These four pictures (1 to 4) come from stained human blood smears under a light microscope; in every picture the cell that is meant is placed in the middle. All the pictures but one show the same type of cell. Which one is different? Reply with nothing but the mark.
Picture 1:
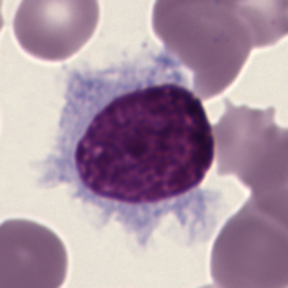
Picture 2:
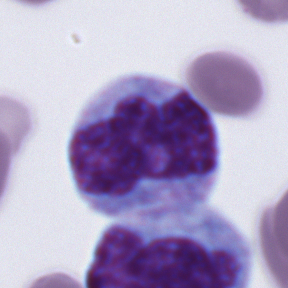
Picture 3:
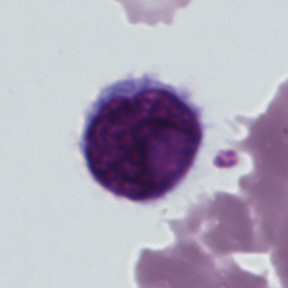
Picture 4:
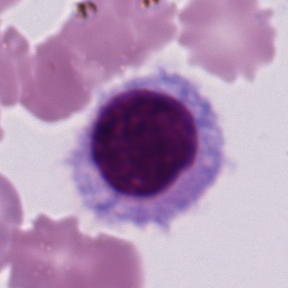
2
